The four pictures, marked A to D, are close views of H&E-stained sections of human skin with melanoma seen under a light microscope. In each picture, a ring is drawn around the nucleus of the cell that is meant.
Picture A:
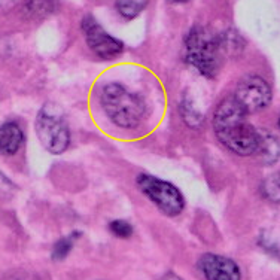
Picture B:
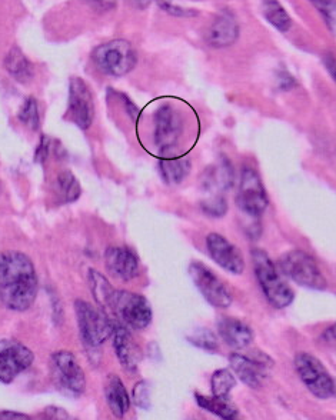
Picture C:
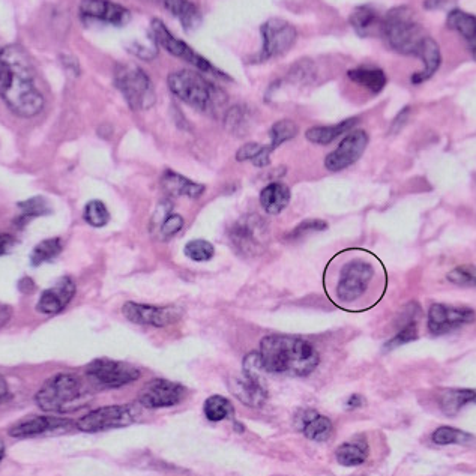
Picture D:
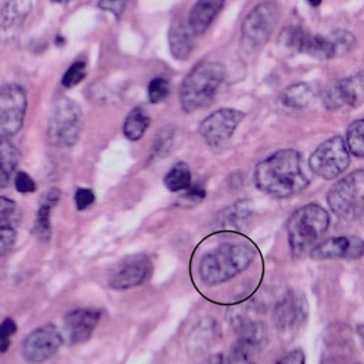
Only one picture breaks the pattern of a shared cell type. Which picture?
C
